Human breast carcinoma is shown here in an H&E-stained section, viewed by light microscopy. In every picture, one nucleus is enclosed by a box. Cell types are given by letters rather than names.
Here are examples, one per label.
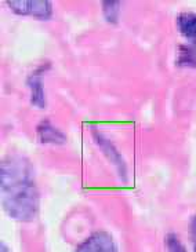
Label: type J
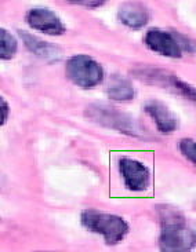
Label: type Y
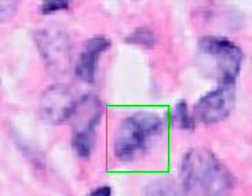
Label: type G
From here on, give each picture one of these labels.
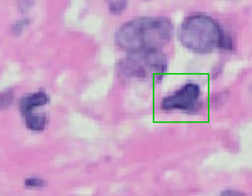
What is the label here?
type Y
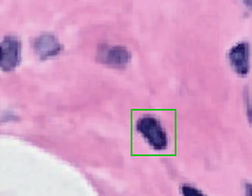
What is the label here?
type Y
